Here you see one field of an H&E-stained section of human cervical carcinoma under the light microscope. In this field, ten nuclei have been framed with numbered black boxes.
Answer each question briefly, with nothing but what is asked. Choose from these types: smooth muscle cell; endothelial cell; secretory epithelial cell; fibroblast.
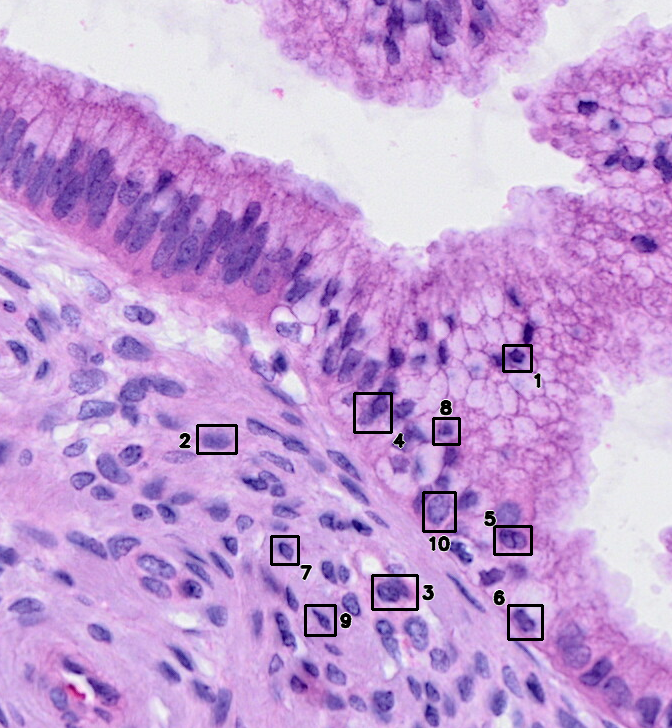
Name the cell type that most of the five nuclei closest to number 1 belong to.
secretory epithelial cell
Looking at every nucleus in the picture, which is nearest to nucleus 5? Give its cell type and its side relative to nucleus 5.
a secretory epithelial cell; above nucleus 5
